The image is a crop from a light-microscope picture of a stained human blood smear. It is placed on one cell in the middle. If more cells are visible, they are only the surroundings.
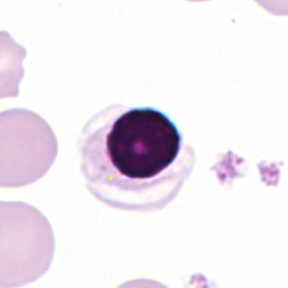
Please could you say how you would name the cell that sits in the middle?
normoblast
